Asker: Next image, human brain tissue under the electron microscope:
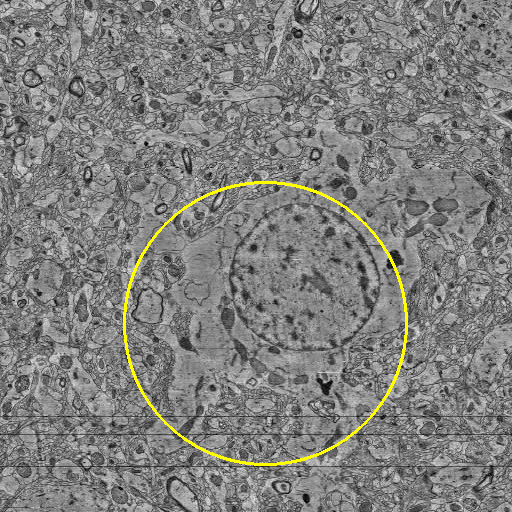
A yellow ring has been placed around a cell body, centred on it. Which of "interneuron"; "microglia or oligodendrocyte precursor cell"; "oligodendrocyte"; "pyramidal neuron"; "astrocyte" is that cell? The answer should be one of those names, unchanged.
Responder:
astrocyte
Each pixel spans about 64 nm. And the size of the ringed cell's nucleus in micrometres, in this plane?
Approximately 10 micrometres across, in this plane.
